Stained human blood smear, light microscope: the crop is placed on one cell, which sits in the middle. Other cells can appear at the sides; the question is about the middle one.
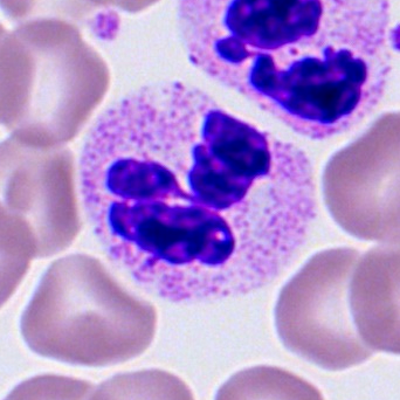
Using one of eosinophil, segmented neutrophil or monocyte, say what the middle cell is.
segmented neutrophil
